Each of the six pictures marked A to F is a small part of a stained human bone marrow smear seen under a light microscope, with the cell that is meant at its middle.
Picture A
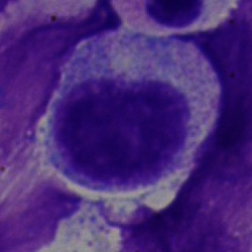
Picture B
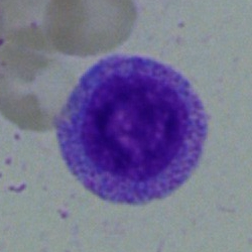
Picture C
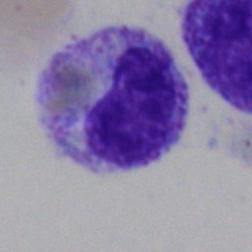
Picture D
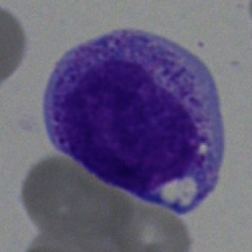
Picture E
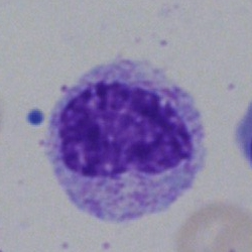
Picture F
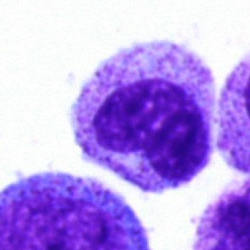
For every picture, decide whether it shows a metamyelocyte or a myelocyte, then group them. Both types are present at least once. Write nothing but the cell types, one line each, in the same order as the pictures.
myelocyte
myelocyte
metamyelocyte
myelocyte
metamyelocyte
metamyelocyte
